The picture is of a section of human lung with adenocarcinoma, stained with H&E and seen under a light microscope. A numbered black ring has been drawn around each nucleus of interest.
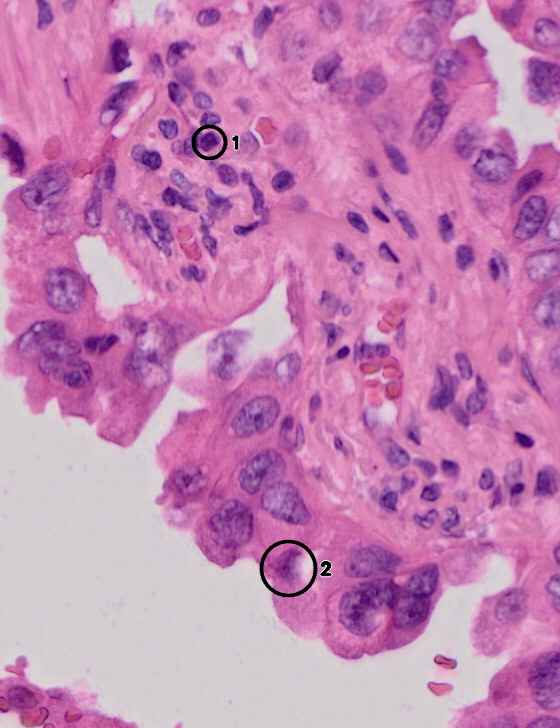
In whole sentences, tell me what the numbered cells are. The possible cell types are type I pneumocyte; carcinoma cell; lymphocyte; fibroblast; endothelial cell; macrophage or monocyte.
Cell 1 is a lymphocyte and cell 2 is a carcinoma cell.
